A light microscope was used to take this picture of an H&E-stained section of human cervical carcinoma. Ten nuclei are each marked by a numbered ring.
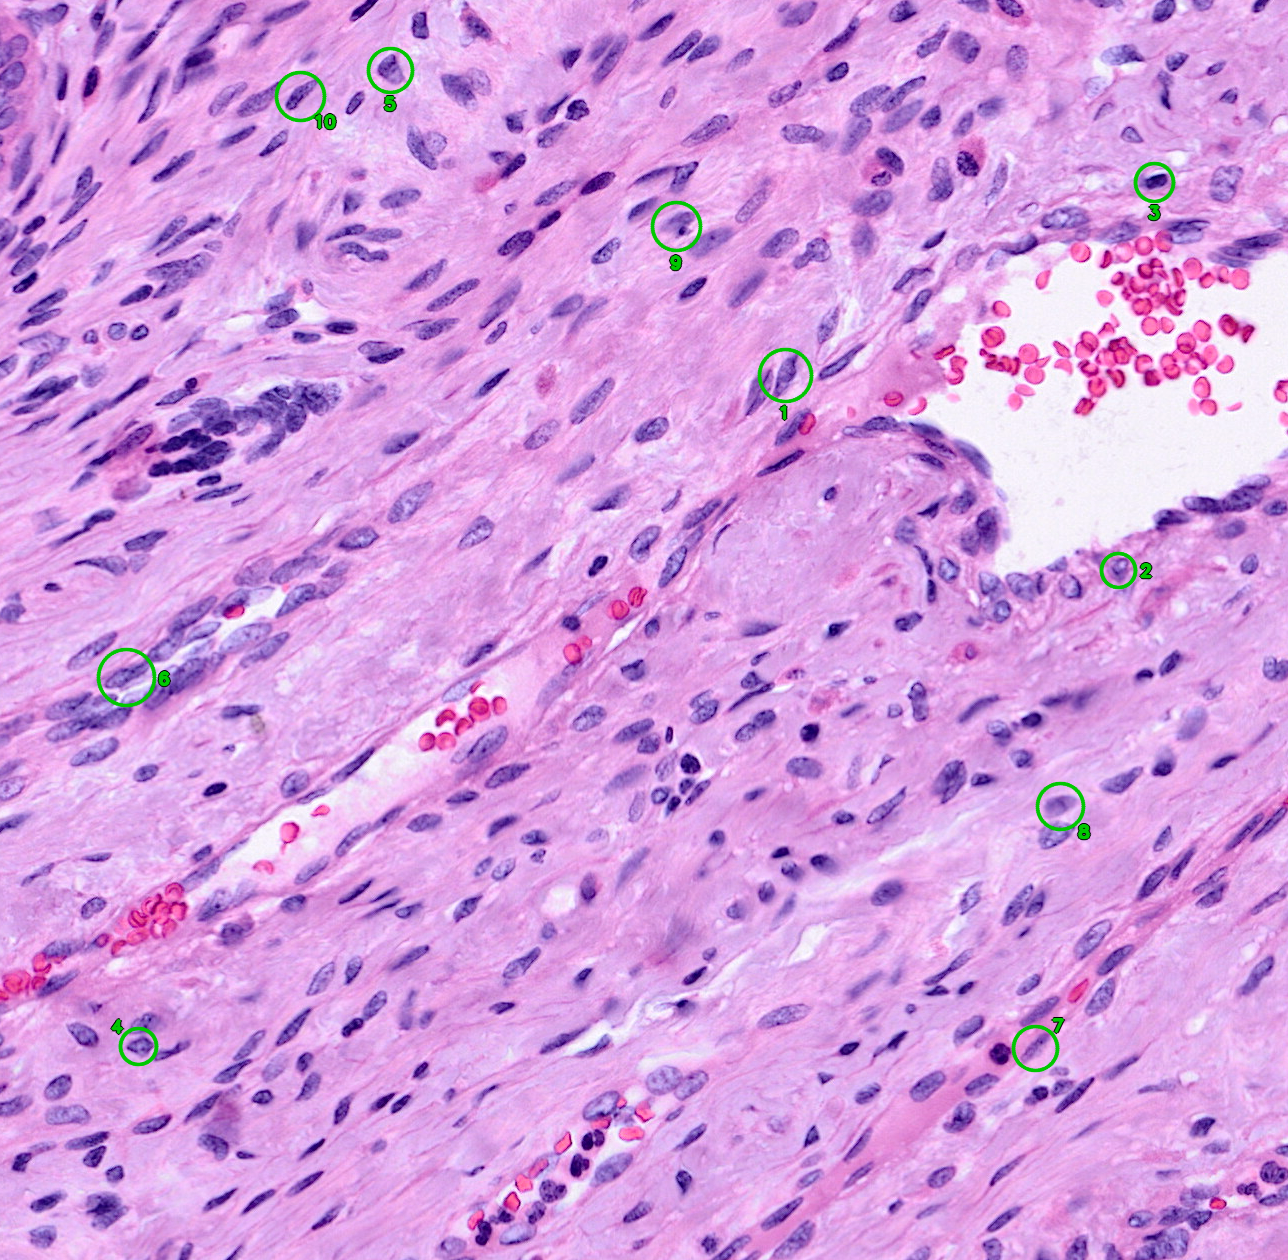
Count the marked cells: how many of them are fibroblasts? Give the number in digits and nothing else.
6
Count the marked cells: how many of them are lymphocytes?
1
